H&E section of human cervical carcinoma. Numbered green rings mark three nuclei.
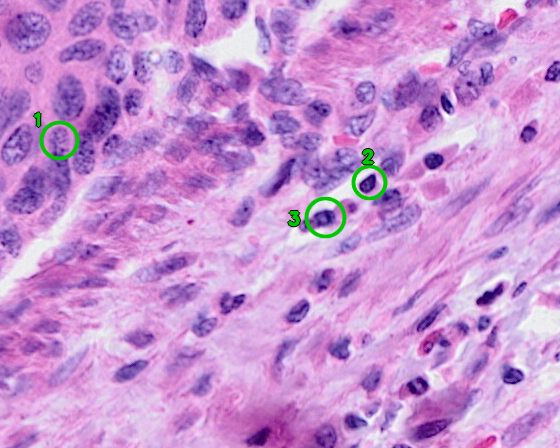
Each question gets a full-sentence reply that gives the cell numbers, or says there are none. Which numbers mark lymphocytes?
So, the cells with numbers 2 and 3 are lymphocytes.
